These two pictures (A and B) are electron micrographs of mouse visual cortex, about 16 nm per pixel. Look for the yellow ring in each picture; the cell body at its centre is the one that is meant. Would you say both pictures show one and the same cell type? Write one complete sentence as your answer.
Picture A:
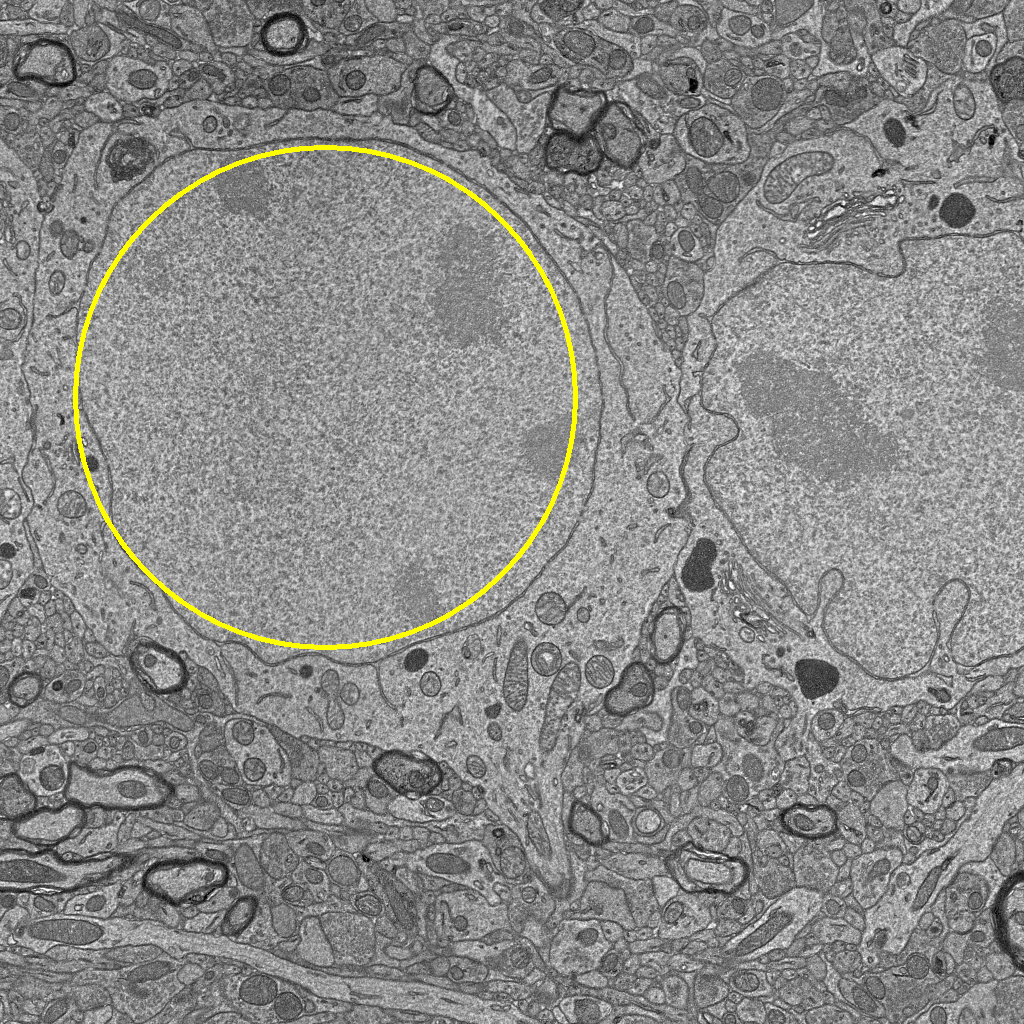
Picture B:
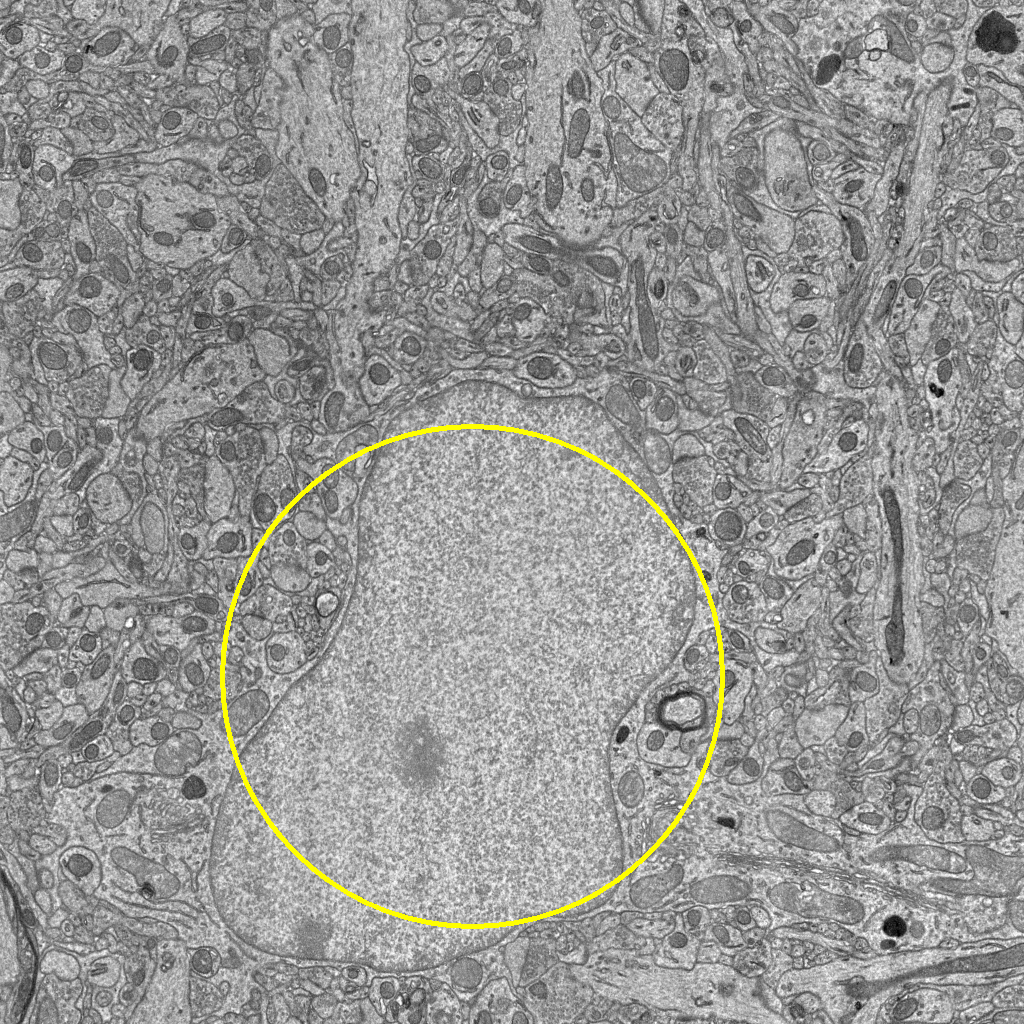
No, they differ: the cell is an excitatory neuron in picture A and an astrocyte in picture B.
